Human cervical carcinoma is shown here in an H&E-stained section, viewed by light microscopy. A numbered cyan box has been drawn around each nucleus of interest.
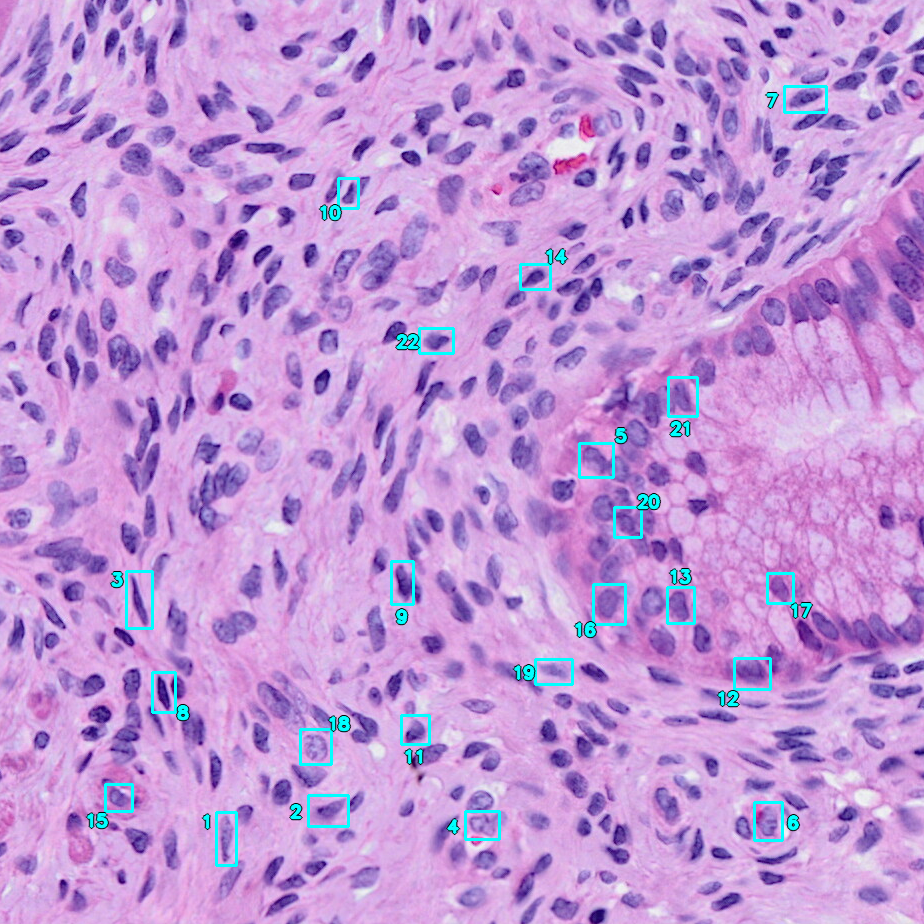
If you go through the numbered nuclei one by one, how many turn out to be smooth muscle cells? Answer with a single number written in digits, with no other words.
1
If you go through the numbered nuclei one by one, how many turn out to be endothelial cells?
3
